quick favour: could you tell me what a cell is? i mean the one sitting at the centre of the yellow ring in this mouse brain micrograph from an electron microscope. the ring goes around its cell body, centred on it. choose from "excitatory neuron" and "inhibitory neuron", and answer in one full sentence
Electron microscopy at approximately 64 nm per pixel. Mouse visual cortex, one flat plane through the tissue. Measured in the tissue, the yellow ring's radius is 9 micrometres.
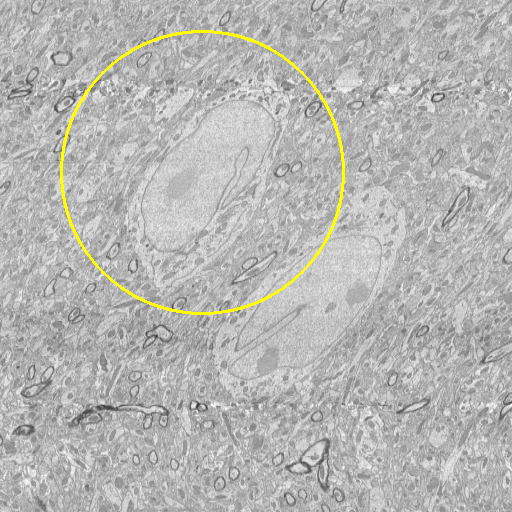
That's an inhibitory neuron, the cell sitting at the centre of the yellow ring.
